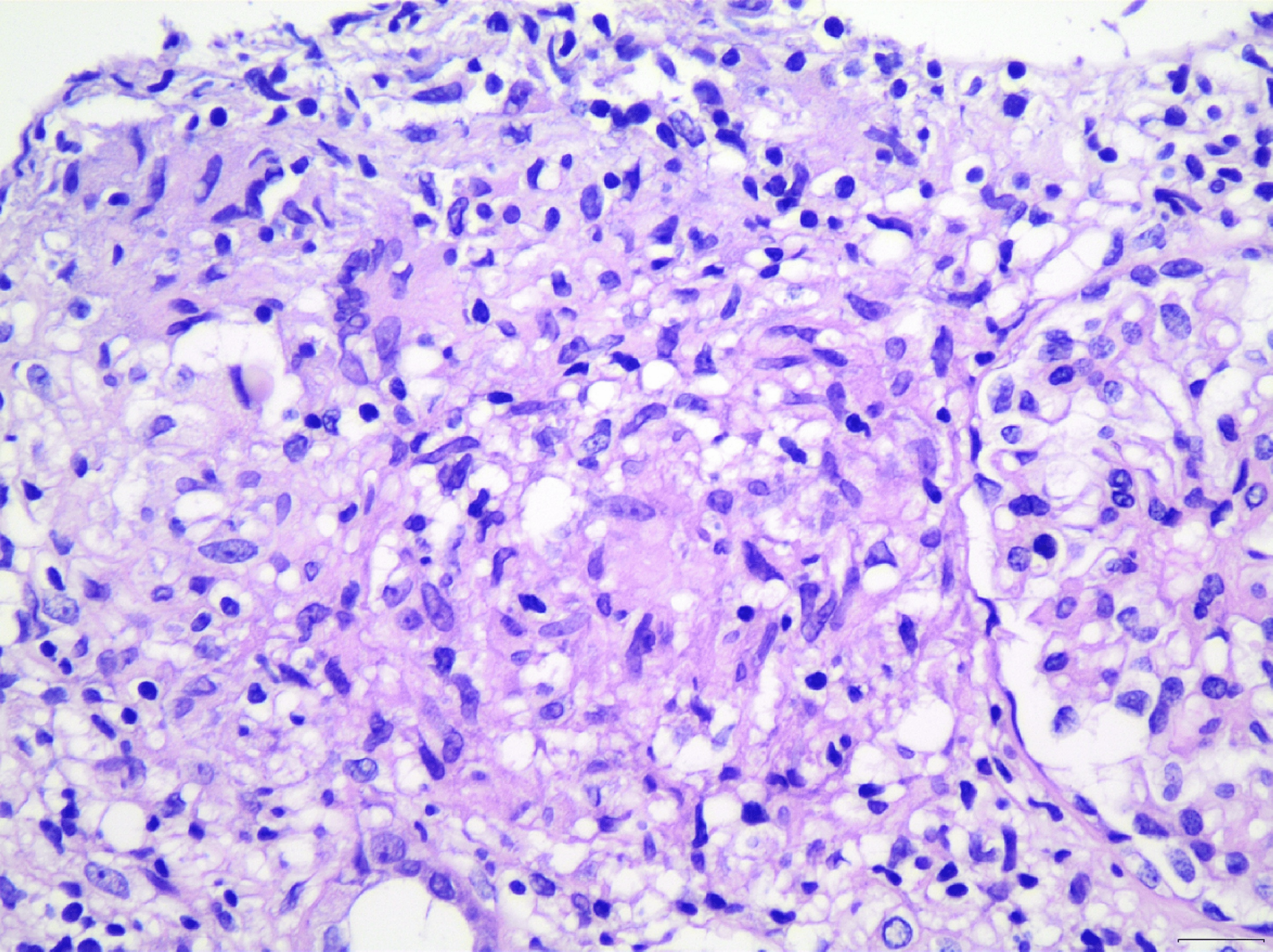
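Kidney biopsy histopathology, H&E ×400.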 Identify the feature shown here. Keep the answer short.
Granuloma.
